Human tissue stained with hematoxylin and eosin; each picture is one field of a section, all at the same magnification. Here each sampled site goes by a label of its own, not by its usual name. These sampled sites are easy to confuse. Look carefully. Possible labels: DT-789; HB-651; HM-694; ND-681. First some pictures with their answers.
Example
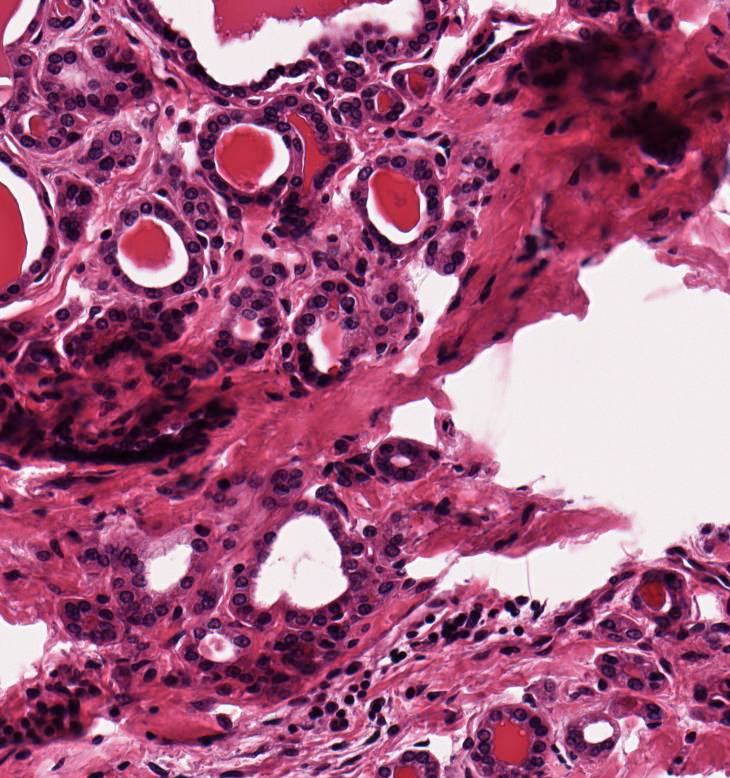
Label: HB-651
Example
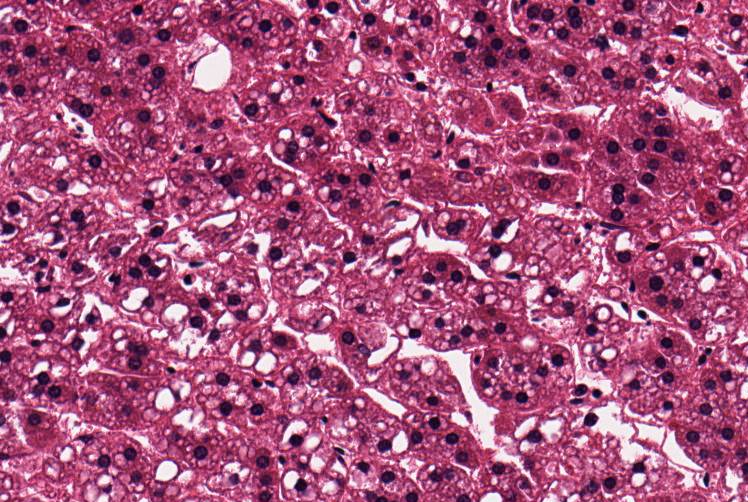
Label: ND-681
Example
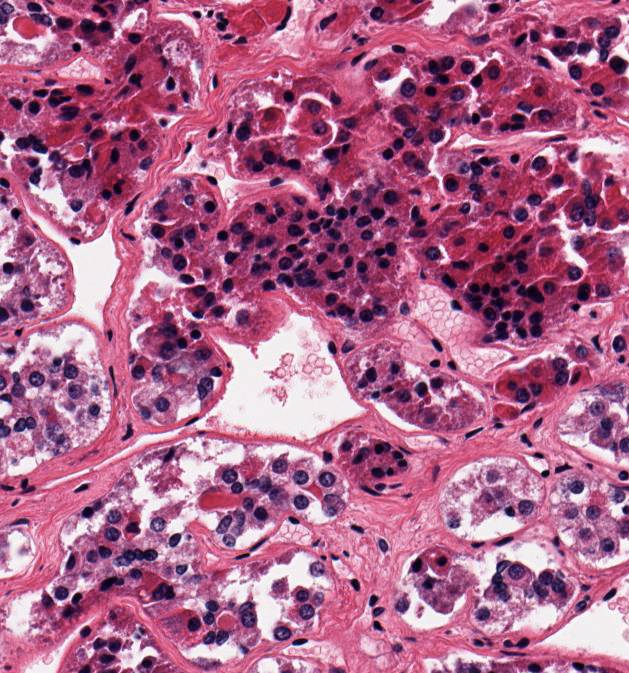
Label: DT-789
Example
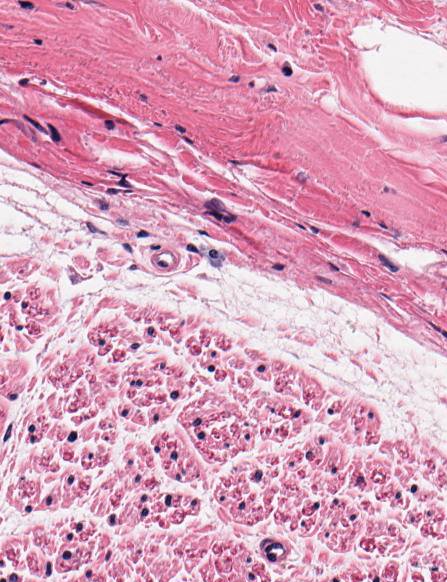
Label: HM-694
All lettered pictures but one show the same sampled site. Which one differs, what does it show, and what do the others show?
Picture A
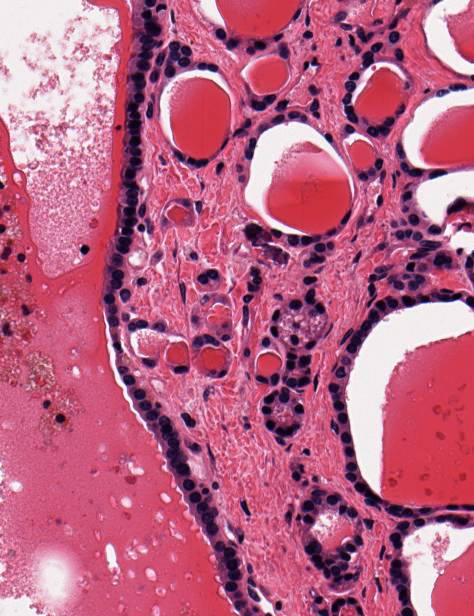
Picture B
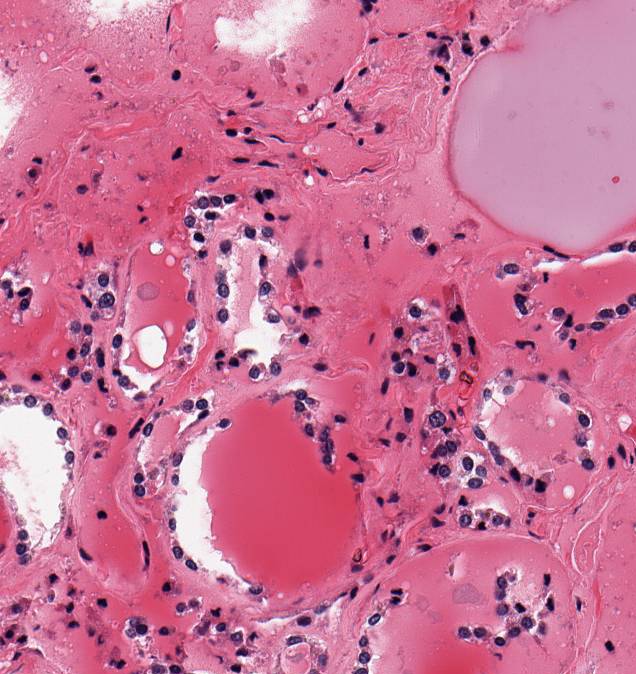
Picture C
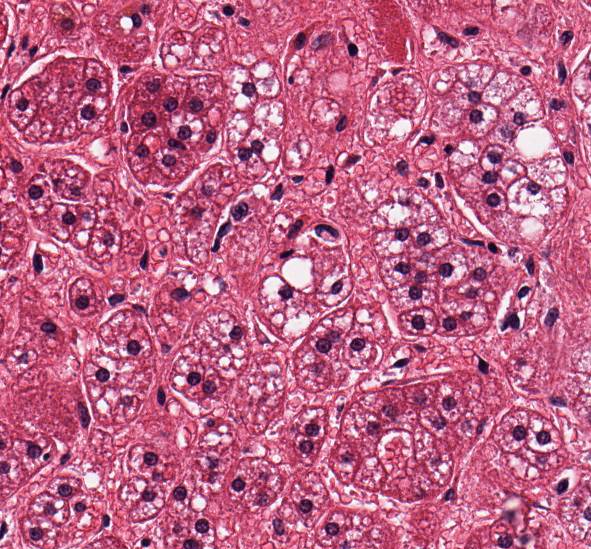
Different: C, ND-681. Others: HB-651.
